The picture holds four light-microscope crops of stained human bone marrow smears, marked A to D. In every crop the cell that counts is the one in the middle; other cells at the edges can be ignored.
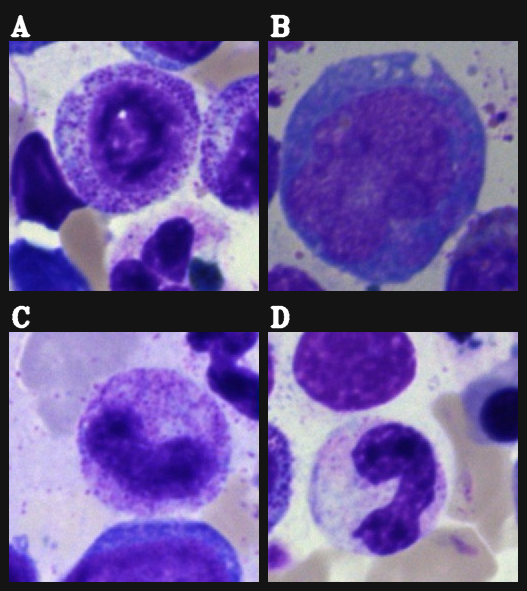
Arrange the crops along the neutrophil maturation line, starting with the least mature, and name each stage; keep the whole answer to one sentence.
Ranked from least to most mature, the sequence is crop B (a promyelocyte), crop A (a myelocyte), crop C (a metamyelocyte) and crop D (a band neutrophil).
